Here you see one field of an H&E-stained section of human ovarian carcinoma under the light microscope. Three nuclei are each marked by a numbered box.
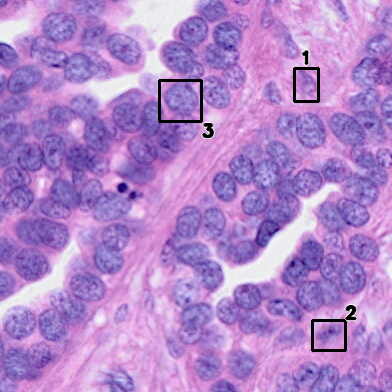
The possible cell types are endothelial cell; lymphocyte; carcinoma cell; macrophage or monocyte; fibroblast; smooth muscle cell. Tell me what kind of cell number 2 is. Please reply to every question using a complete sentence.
Of the numbered cells, the one labelled 2 is a fibroblast.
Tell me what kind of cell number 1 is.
That cell with number 1 is a fibroblast.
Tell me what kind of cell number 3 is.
The cell referenced by the number 3 is a carcinoma cell in this field.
